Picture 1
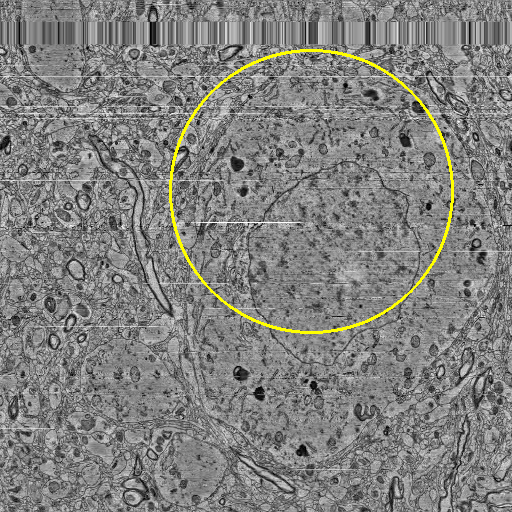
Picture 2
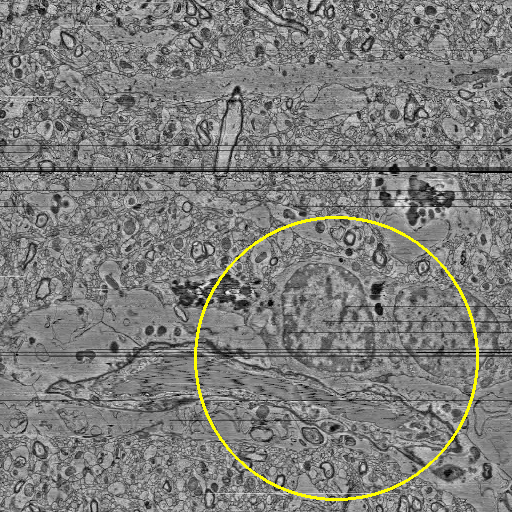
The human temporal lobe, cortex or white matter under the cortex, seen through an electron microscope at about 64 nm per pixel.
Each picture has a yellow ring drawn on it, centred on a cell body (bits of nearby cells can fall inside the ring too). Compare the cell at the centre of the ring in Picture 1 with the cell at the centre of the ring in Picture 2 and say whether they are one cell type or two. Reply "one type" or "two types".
two types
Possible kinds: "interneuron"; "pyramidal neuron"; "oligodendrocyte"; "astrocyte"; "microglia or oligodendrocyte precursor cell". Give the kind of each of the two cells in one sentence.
The cell in the second picture is an oligodendrocyte, and that in the first is a pyramidal neuron.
